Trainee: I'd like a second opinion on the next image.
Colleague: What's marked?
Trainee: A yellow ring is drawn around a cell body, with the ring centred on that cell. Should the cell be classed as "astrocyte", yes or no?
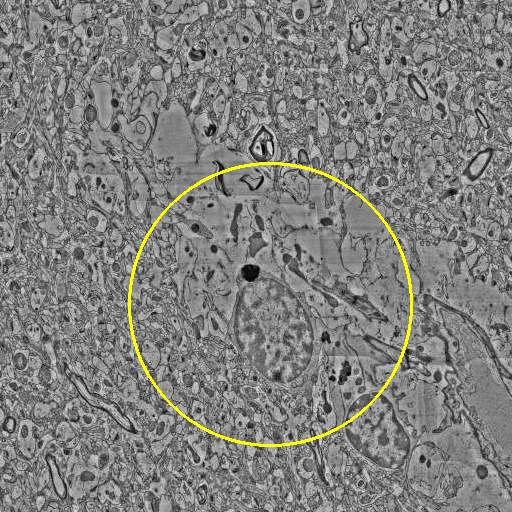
No, it should be classed as another kind.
